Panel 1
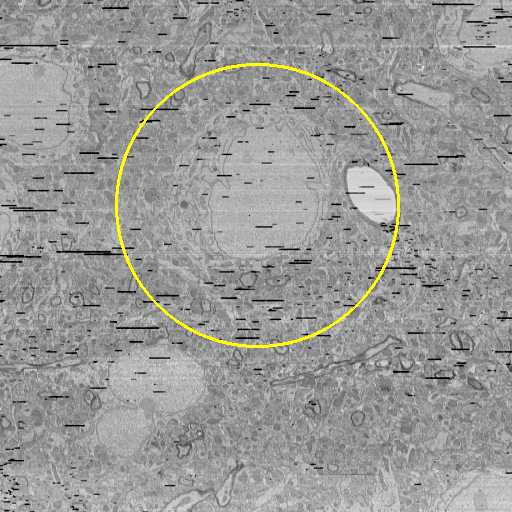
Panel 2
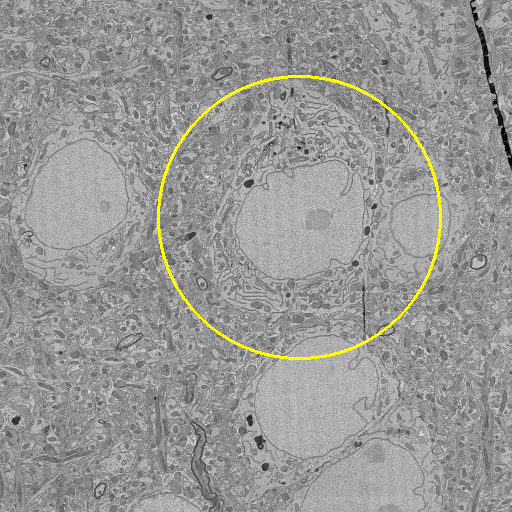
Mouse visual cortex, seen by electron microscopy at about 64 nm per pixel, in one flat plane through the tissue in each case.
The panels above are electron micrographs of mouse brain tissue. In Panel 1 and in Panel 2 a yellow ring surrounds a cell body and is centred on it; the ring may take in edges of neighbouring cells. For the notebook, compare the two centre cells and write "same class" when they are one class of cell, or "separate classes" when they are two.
same class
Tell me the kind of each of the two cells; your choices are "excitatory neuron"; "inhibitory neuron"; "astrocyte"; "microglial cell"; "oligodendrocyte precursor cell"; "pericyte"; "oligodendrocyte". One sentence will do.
Each cell at the centre of a ring is an inhibitory neuron.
